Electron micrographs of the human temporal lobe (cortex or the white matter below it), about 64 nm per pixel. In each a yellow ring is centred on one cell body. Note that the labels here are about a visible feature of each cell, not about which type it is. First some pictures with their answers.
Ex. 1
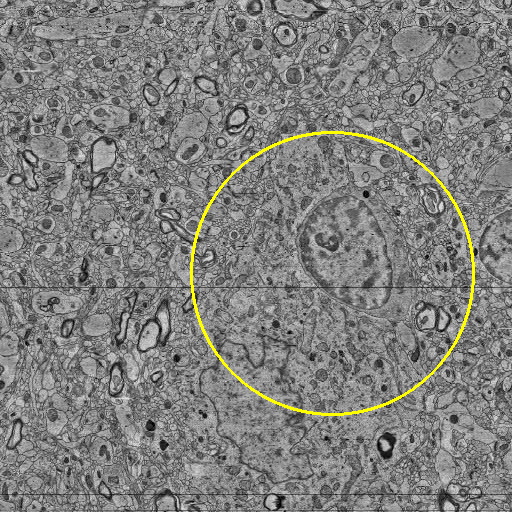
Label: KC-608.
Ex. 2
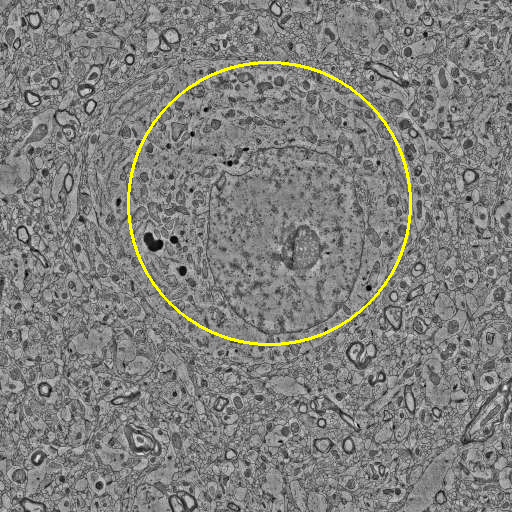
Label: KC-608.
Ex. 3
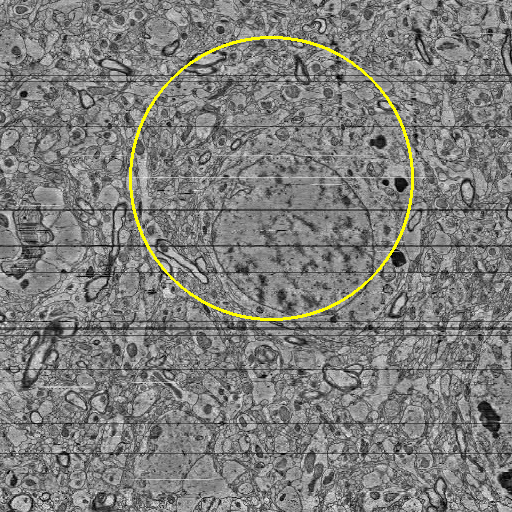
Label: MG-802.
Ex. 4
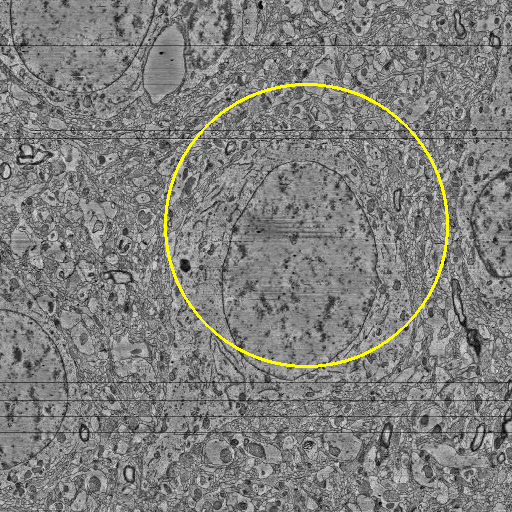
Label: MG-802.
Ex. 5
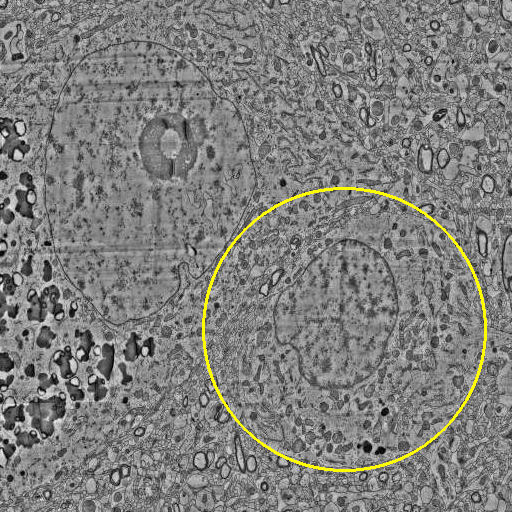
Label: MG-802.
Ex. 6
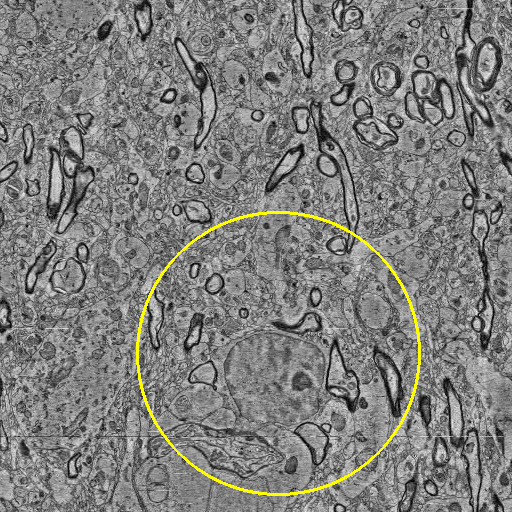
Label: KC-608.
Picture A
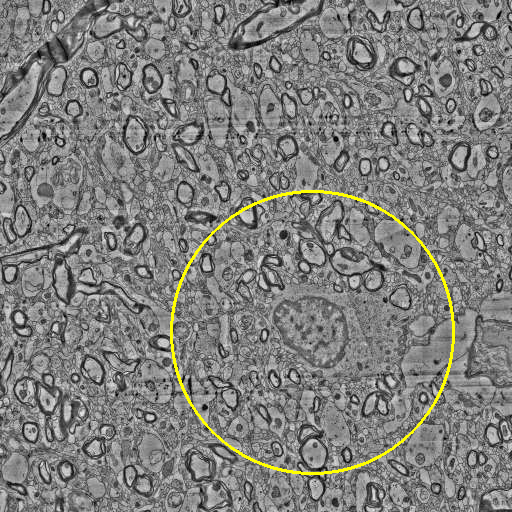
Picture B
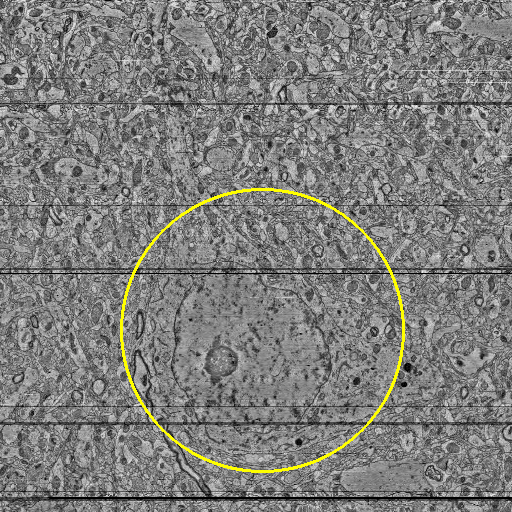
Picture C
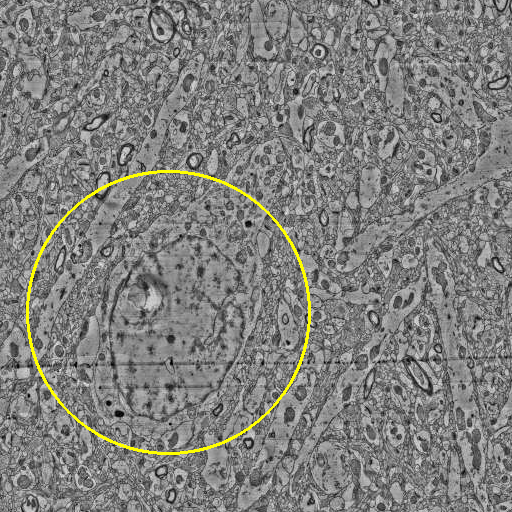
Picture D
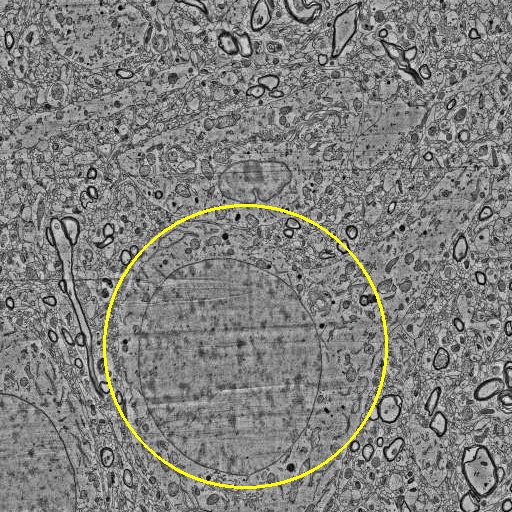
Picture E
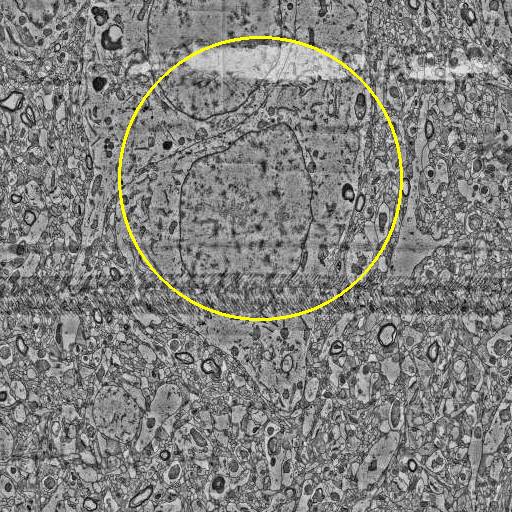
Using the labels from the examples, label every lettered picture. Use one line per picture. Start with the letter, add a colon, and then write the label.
A: MG-802.
B: KC-608.
C: KC-608.
D: MG-802.
E: MG-802.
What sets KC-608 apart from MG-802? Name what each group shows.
KC-608: nucleolus seen; MG-802: no nucleolus seen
